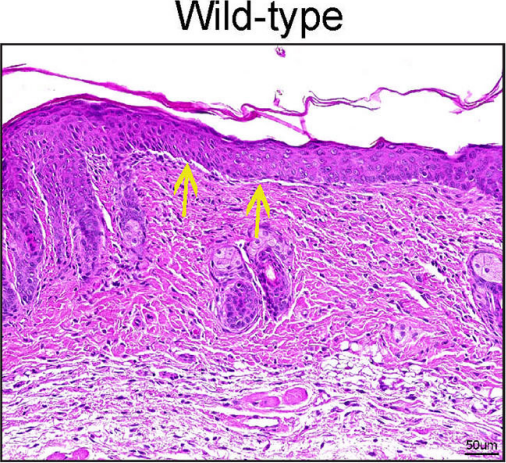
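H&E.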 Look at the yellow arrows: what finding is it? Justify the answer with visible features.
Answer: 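Dermal-epidermal clefts. The arrows point to the junction between the epidermis and the dermis. A narrow pale line runs along the base of the epidermis there.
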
